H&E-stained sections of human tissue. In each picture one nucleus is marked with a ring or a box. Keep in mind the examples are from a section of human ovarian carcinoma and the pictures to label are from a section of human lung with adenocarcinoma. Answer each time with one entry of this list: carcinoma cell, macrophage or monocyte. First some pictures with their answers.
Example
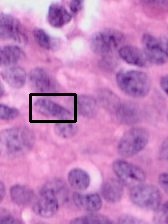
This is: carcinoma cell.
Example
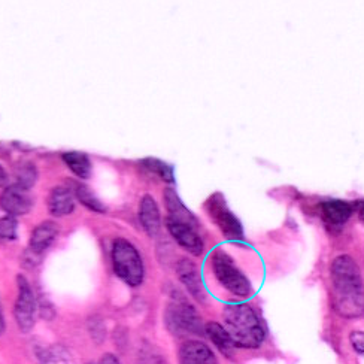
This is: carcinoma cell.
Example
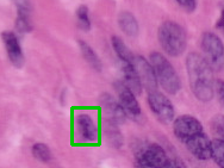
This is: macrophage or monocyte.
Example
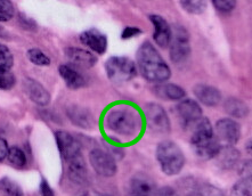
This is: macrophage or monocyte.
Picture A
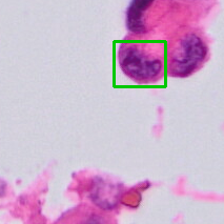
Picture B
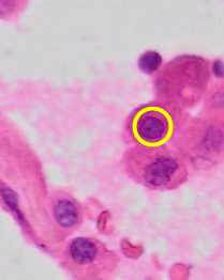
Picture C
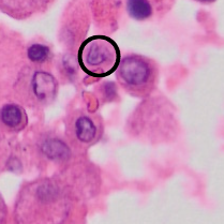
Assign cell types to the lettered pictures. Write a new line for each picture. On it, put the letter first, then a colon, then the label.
A: carcinoma cell.
B: macrophage or monocyte.
C: macrophage or monocyte.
